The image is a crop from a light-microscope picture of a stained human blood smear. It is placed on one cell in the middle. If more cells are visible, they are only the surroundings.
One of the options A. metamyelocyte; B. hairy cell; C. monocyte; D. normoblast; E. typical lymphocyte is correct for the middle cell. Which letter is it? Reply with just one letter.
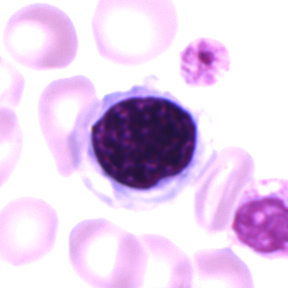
D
